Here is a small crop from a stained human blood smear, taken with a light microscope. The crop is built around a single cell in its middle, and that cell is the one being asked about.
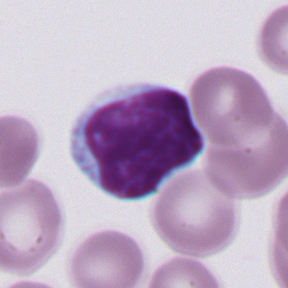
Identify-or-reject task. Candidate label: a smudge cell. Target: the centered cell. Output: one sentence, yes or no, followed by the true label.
No, it isn't a smudge cell; what sits in the middle is a typical lymphocyte.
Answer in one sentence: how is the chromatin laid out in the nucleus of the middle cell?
This nucleus has coarsely clumped chromatin.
